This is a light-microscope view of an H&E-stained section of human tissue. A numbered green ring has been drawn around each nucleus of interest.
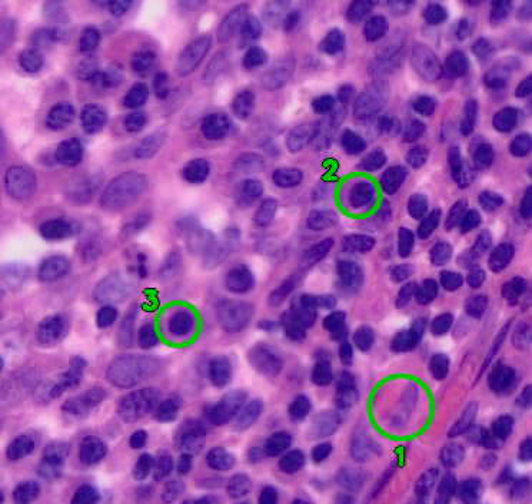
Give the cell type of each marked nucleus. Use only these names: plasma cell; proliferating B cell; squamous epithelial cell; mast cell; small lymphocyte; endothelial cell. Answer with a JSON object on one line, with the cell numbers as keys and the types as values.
{"1": "endothelial cell", "2": "plasma cell", "3": "plasma cell"}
